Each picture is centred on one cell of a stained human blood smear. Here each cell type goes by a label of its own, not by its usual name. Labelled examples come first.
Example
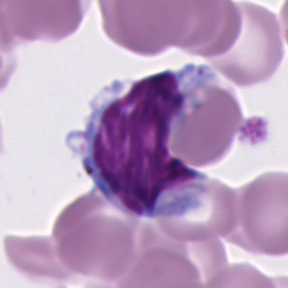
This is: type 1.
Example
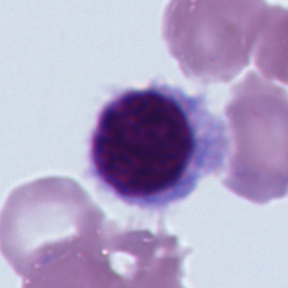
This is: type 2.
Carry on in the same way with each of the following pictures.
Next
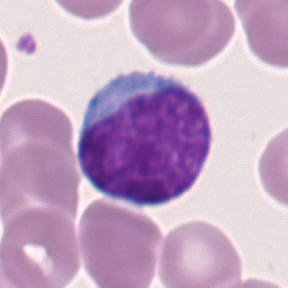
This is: type 1.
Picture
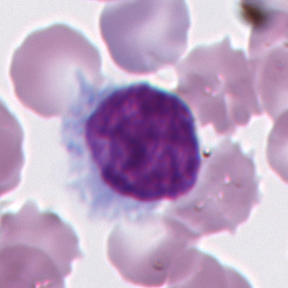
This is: type 2.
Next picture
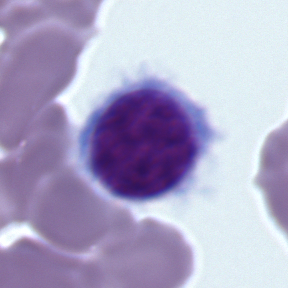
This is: type 2.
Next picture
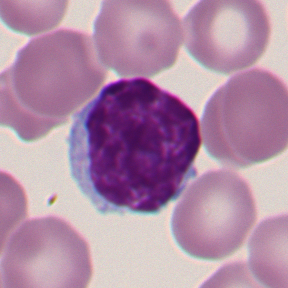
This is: type 1.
